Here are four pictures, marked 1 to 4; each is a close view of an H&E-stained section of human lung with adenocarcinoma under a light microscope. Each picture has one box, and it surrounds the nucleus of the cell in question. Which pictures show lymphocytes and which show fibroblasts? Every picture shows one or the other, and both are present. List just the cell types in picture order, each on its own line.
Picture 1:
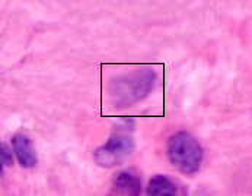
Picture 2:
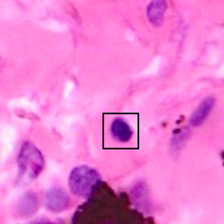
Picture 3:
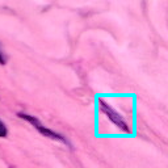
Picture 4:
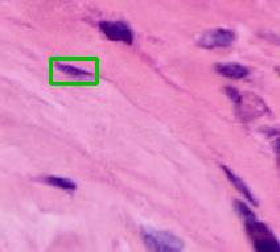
fibroblast
lymphocyte
fibroblast
fibroblast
